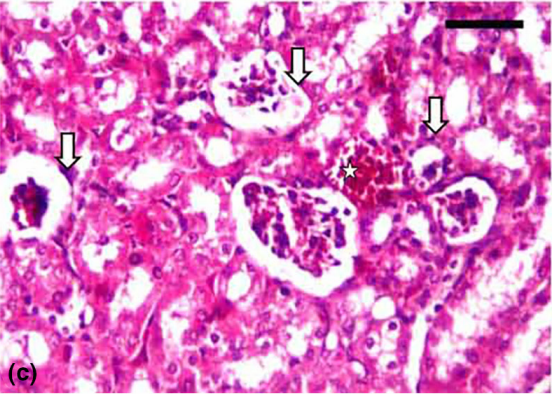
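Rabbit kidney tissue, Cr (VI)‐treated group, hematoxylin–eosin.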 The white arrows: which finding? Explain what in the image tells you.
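Shrinkage and atrophy. The marked glomerular tufts are small and irregular. A wide clear space separates the tufts from their capsules.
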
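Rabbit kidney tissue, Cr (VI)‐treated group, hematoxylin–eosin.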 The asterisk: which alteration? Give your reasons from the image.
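Hemorrhage. The asterisk lies on a cluster of bright red red blood cells between tubules.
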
